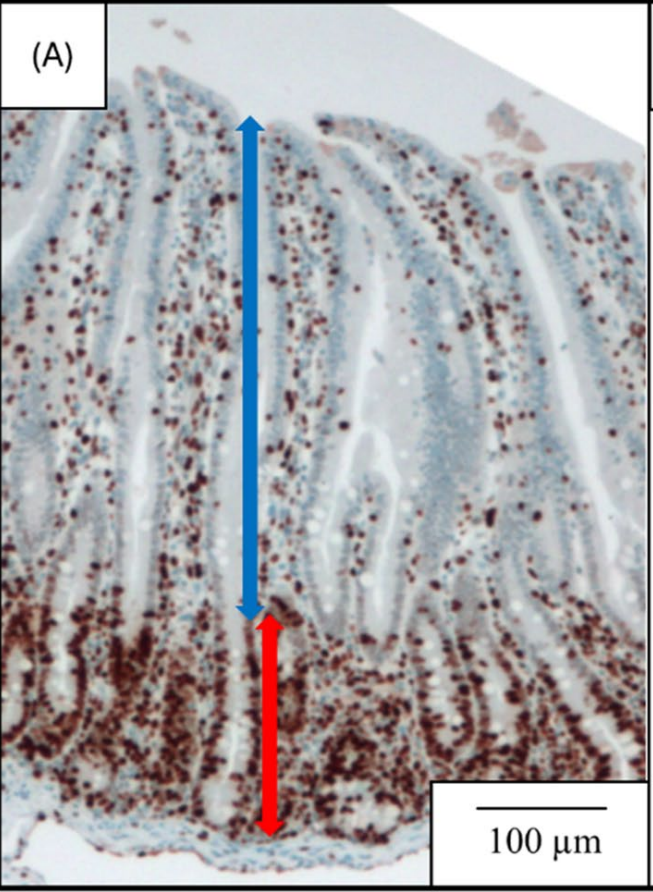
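This is small intestinal mucosa in longitudinal section, showing tall finger-like villi above a band of crypts. The villi are covered by a single layer of tall columnar epithelial cells with pale blue nuclei and scattered clear goblet-like vacuoles; their cores of lamina propria hold scattered brown-stained nuclei. Toward the base the mucosa becomes a dense zone of tubular crypts packed with cells whose nuclei are mostly stained dark brown. Beneath the crypts lies a thin pale layer of submucosa and muscle. A blue double arrow marks the length of one villus, a red one the depth of the crypt zone.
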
